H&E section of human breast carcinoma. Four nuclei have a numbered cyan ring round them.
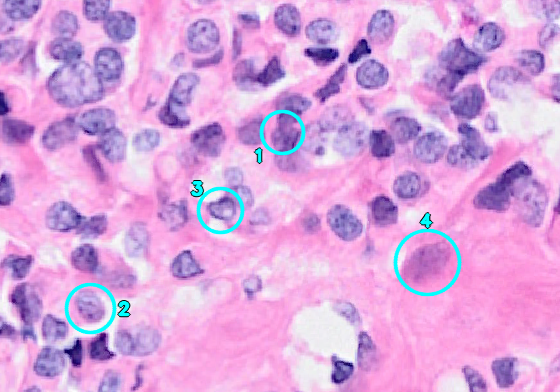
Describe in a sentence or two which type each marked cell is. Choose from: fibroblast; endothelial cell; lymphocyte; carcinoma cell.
Cell 1 is a carcinoma cell, cell 2 is a carcinoma cell, cell 3 is a carcinoma cell and cell 4 is a fibroblast.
